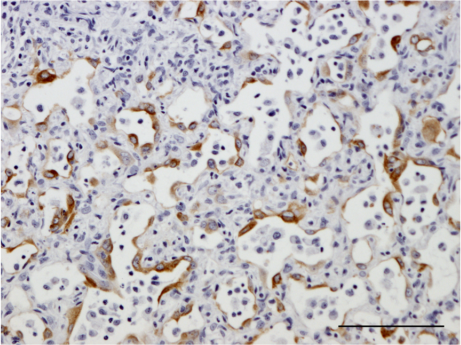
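Lung parenchyma in which the alveolar walls are markedly thickened and crowded with cells, leaving small irregular airspaces. Brown staining lines many of the airspaces, lying in the epithelial cells at the alveolar surface, some of which look plump and enlarged. Blue nuclei are densely packed within the widened walls.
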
